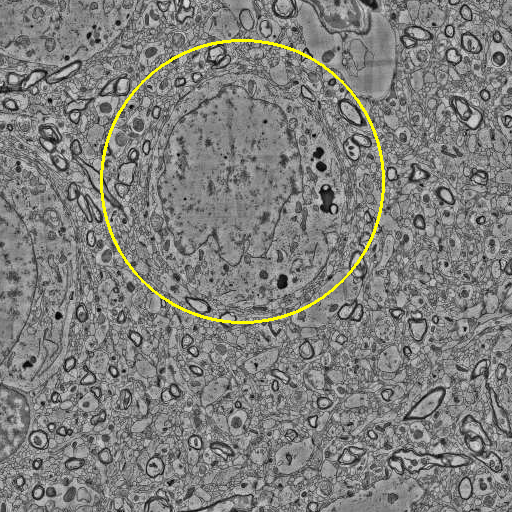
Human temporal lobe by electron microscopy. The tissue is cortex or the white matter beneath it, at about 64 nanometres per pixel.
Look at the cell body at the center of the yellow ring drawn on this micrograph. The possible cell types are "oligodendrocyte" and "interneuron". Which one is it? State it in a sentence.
The cell in the middle of the ring is an interneuron.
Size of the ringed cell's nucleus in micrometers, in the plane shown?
In this plane, about 12 micrometres in length and 10 in width.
